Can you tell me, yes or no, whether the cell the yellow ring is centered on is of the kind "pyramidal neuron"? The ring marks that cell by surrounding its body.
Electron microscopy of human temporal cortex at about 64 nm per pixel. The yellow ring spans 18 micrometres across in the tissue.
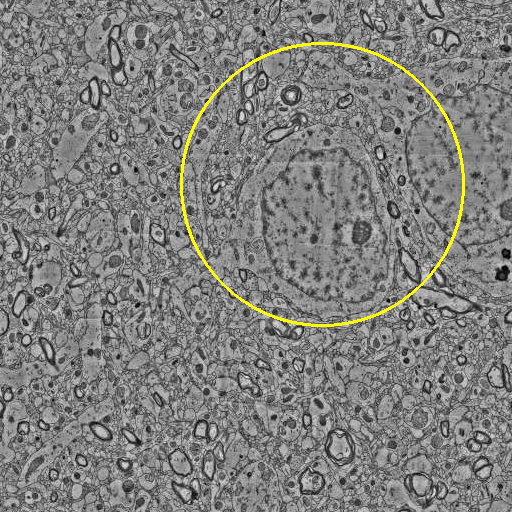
no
